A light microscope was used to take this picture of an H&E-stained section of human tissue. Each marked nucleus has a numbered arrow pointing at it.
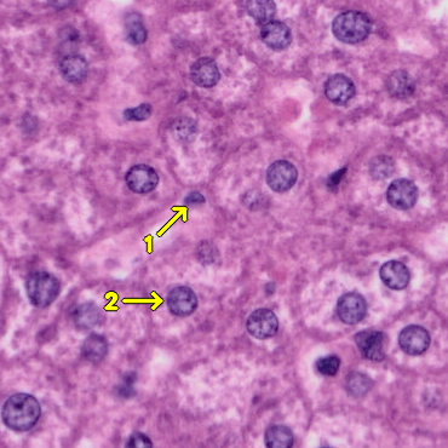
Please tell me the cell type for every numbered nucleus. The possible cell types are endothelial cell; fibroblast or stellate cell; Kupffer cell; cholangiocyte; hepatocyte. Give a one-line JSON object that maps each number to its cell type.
{"1": "endothelial cell", "2": "hepatocyte"}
